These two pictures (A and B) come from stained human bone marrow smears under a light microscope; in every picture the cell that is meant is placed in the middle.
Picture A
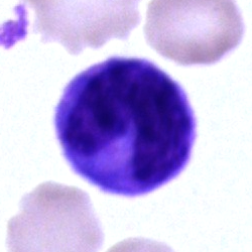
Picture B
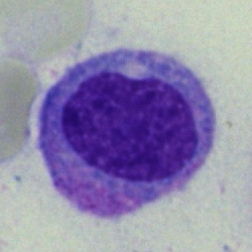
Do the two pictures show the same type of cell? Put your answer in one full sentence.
Yes, they are the same type: both are monocytes.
